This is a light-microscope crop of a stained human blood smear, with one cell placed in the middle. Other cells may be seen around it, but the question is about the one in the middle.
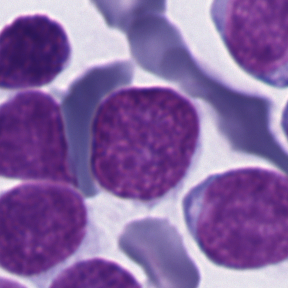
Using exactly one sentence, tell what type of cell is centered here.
In the crop, the cell of interest at the centre is a myeloblast.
